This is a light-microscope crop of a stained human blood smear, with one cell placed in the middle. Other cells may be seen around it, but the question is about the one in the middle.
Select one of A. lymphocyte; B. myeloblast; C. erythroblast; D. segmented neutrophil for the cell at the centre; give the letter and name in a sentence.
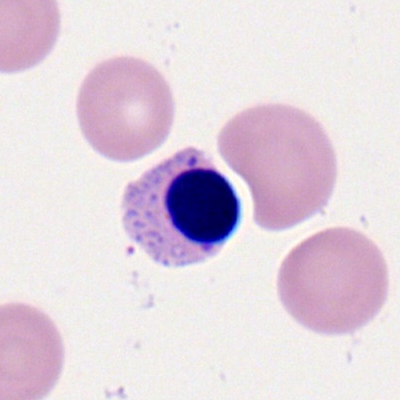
Option C is the correct selection, for the cell at the centre is an erythroblast.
